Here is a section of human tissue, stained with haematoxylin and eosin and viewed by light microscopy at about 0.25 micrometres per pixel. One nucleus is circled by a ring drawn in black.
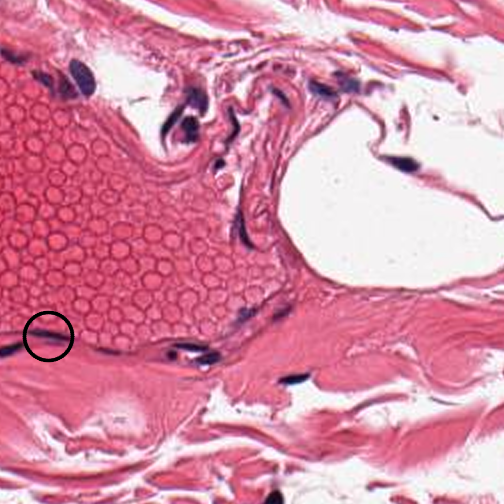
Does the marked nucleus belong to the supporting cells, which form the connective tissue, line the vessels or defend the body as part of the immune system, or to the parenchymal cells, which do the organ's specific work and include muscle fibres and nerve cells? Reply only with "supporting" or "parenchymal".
supporting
